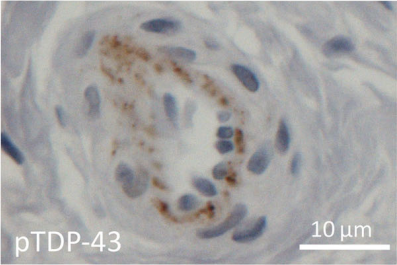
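A small blood vessel cut in cross section, with a central lumen ringed by lining endothelial cells and surrounded by a pale wall. Fine brown granules gather in the cytoplasm of the lining cells around the lumen, while their oval nuclei remain blue.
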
